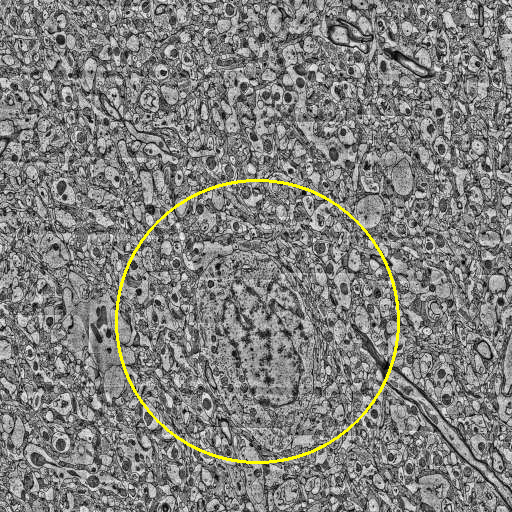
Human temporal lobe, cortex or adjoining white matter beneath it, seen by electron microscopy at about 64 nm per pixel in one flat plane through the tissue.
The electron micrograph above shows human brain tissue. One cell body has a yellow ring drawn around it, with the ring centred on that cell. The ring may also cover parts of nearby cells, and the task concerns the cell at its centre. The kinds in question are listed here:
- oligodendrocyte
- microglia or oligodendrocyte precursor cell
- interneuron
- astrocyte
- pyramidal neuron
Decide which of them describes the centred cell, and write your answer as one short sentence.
The centred cell is an interneuron.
